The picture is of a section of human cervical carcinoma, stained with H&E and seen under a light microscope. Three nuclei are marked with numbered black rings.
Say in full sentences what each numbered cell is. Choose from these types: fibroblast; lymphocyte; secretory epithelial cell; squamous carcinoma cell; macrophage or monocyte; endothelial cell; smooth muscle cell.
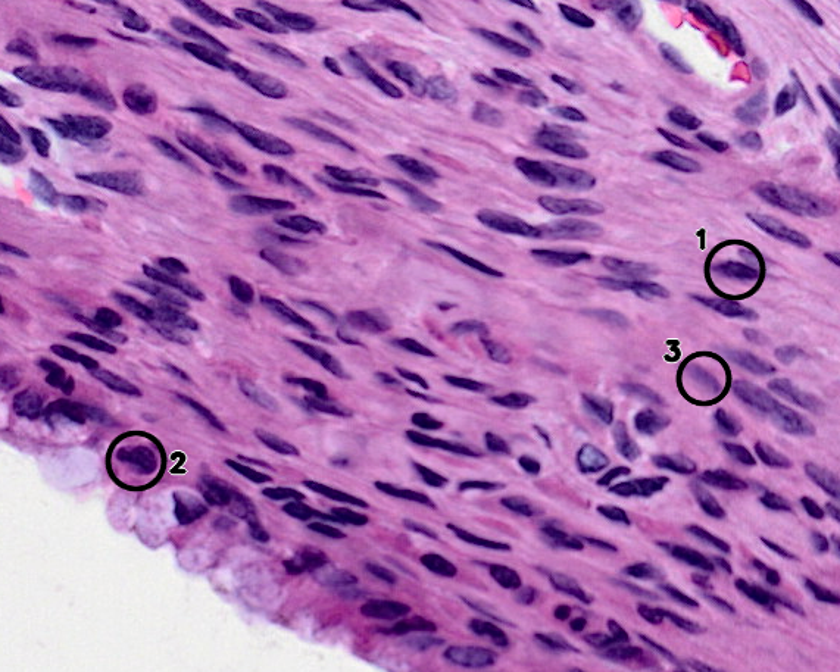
Cells 1 and 3 are fibroblasts. Cell 2 is a secretory epithelial cell.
